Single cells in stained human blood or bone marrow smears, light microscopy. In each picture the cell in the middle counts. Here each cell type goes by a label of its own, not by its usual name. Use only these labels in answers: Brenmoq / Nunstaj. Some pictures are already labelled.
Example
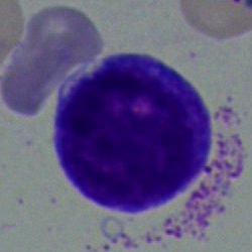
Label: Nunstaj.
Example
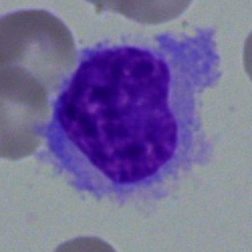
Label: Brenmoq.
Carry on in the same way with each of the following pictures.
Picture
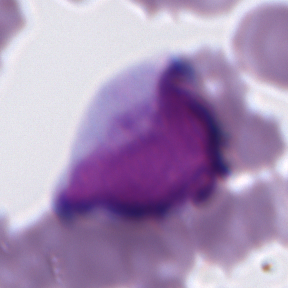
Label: Nunstaj.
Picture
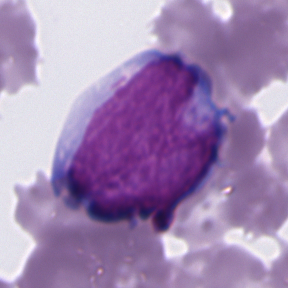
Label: Nunstaj.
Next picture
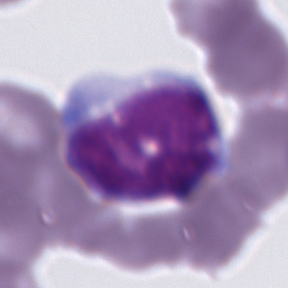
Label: Nunstaj.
